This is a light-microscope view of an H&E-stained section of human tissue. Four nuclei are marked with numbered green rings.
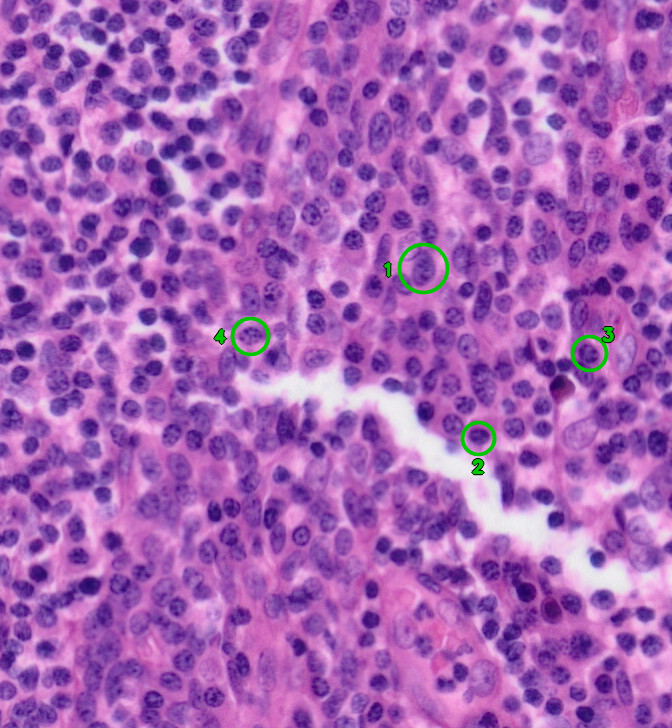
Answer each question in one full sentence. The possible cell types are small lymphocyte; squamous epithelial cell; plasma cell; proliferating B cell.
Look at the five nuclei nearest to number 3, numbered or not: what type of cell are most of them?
The majority of the five nuclei closest to number 3 belong to squamous epithelial cells.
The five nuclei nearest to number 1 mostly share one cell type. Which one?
Most of the five nuclei nearest to number 1 are those of plasma cells.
